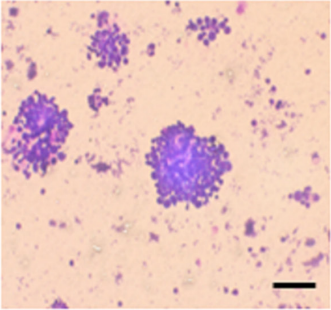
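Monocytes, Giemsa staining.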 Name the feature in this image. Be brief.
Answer: Cellular aggregates.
